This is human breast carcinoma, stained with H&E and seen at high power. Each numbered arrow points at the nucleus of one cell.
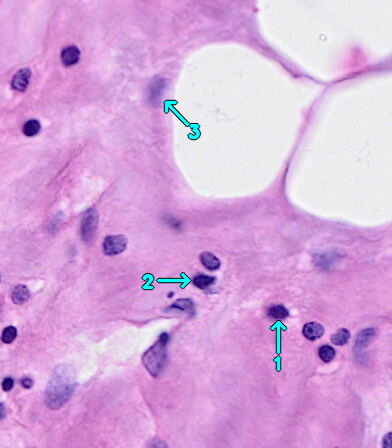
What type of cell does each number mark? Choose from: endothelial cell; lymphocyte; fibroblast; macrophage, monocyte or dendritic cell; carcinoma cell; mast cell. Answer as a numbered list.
1. lymphocyte
2. lymphocyte
3. fibroblast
